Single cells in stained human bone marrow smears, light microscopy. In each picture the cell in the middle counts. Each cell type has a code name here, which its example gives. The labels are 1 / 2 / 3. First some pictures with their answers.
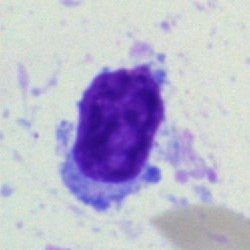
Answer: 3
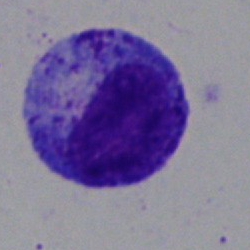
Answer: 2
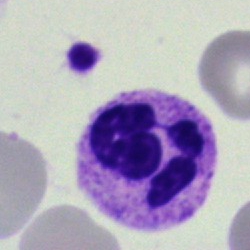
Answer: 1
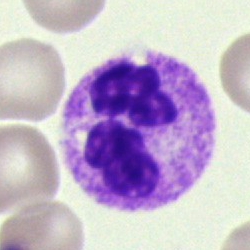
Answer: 1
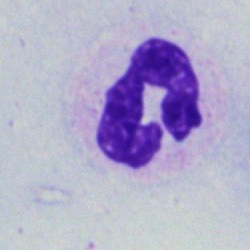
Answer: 1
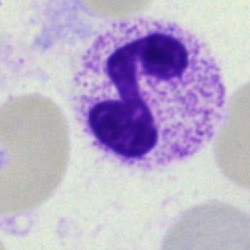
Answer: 1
